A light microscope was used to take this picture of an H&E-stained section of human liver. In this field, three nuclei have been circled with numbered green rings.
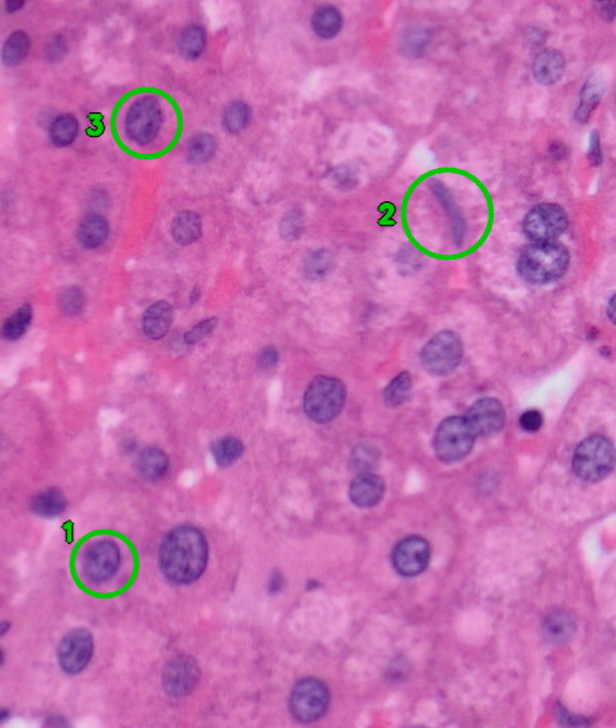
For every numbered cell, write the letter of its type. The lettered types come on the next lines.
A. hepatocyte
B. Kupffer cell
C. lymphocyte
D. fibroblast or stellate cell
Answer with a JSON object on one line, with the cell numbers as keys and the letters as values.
{"1": "A", "2": "B", "3": "A"}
